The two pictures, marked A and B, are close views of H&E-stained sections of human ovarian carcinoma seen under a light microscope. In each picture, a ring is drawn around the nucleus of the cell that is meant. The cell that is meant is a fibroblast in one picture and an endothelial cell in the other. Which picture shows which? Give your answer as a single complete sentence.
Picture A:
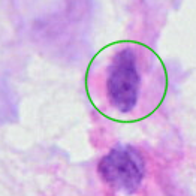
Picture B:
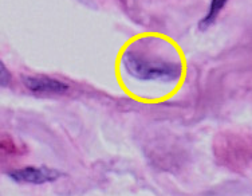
In picture A the cell is a fibroblast; in picture B, an endothelial cell.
